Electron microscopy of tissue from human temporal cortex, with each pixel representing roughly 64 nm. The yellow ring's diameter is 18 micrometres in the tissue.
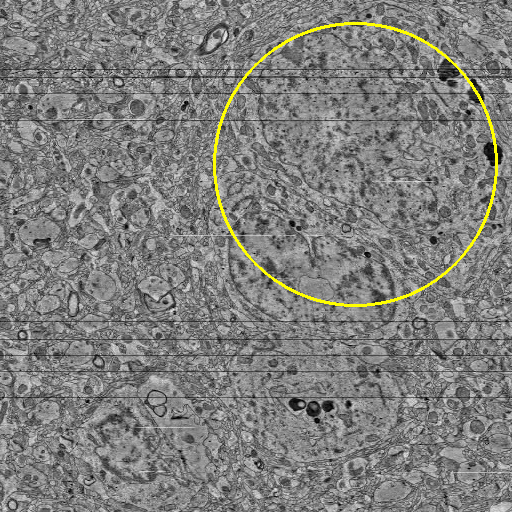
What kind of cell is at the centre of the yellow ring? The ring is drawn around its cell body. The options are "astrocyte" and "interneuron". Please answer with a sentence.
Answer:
The yellow ring marks the cell body of an interneuron.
